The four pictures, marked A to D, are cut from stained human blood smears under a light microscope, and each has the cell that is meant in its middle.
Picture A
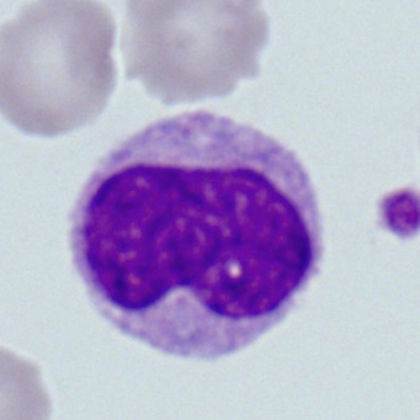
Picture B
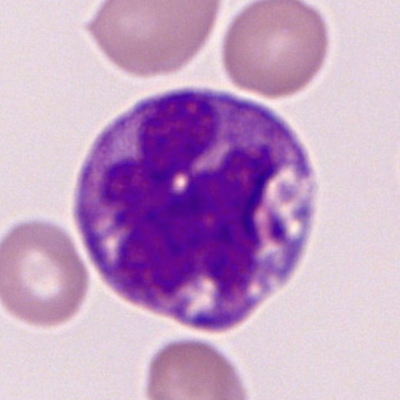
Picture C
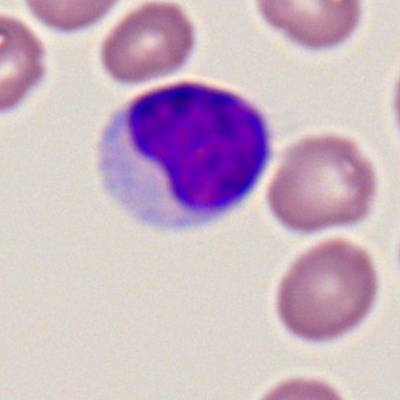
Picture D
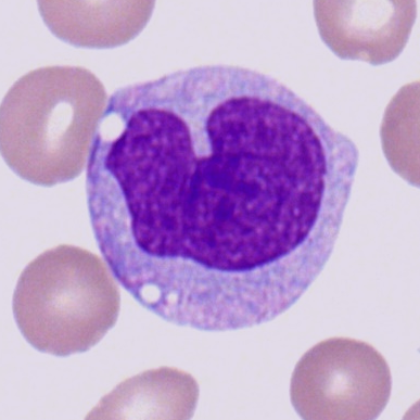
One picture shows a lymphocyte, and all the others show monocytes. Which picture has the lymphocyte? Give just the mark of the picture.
C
